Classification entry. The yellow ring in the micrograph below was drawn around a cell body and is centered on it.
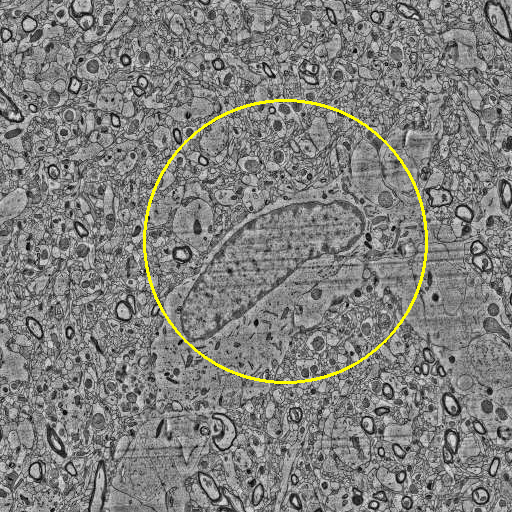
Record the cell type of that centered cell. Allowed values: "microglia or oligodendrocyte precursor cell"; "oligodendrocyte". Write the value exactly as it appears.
microglia or oligodendrocyte precursor cell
